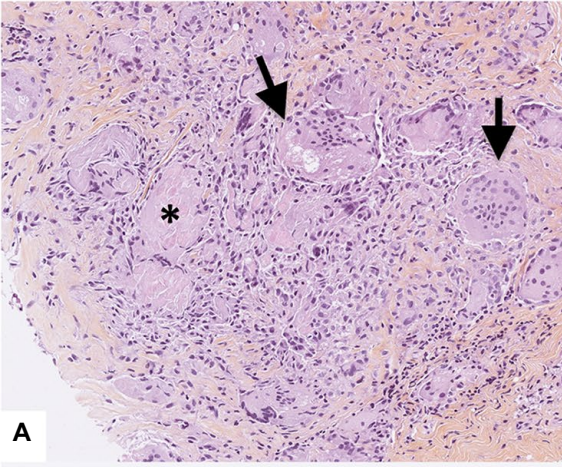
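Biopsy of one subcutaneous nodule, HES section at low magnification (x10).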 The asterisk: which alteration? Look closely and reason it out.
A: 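The asterisk lies on a pale pink, structureless, glassy material. The material has no nuclei and is rimmed by cells.
Conclusion: amorphous substance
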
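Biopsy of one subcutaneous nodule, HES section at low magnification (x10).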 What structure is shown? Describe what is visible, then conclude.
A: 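Granulomas. Nodular aggregates of many cells with large multinucleated cells lie within the dermis. Pale pink islands are surrounded by packed inflammatory and spindle cells.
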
